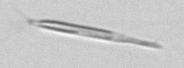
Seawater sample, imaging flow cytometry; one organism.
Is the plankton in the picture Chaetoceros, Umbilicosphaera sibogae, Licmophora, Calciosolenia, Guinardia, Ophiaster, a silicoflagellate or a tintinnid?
It is Calciosolenia.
